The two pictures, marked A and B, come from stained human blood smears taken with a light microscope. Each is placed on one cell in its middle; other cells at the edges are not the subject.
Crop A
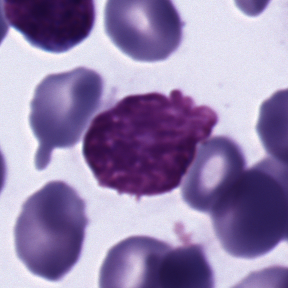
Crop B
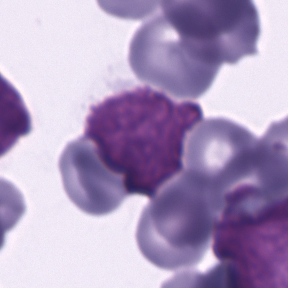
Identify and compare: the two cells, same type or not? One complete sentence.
Yes, smudge cells are seen in both crops.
